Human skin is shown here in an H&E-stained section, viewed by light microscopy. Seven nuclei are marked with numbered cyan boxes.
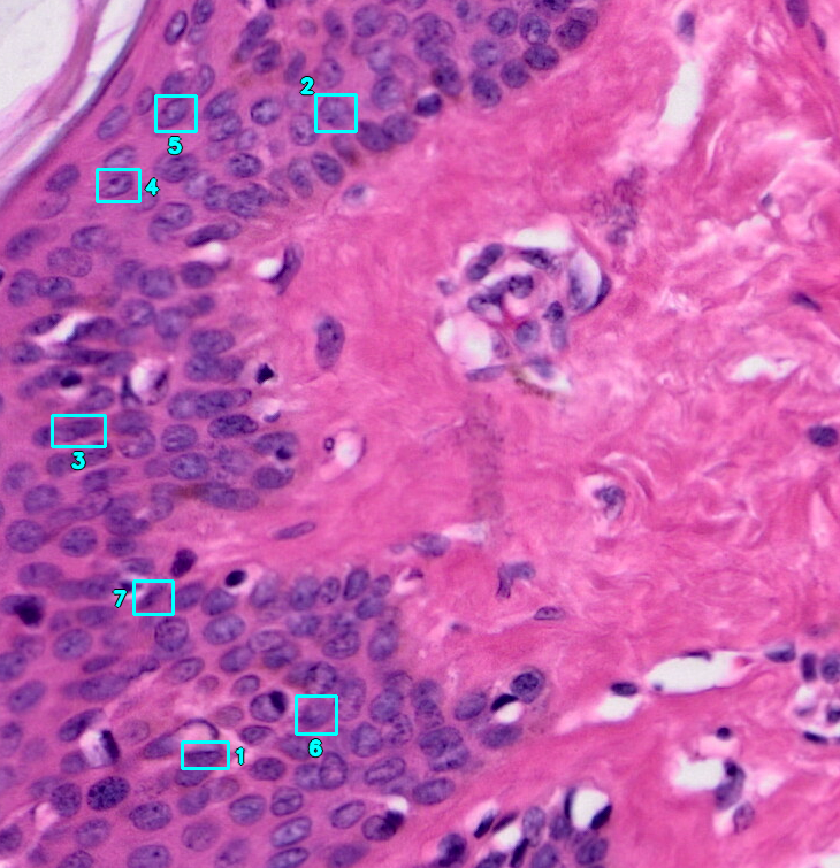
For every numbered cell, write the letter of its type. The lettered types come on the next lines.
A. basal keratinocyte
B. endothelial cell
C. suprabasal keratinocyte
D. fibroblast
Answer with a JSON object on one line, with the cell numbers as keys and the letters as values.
{"1": "A", "2": "C", "3": "A", "4": "C", "5": "C", "6": "A", "7": "A"}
